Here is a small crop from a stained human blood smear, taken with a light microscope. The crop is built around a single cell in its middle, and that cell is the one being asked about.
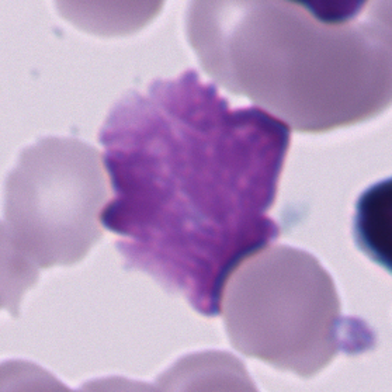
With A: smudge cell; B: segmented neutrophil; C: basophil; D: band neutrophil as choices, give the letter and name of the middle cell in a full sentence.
Correctly, option A names the cell in the middle a smudge cell.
